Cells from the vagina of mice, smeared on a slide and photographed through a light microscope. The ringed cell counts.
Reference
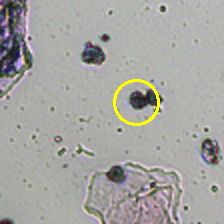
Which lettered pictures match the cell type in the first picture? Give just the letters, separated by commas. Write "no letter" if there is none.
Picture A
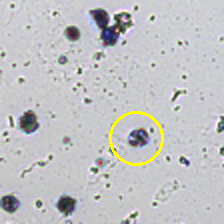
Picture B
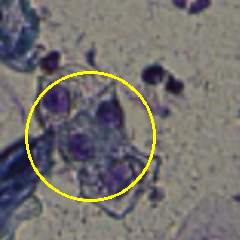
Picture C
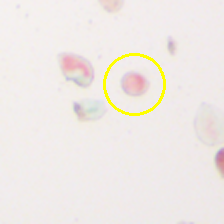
A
